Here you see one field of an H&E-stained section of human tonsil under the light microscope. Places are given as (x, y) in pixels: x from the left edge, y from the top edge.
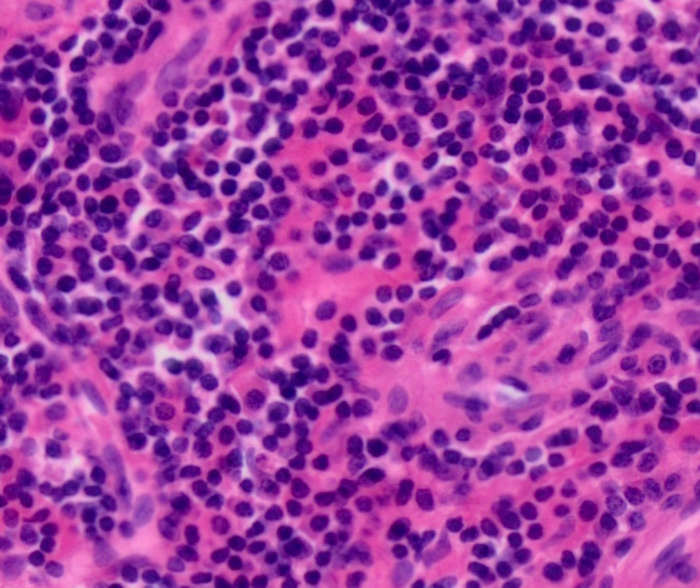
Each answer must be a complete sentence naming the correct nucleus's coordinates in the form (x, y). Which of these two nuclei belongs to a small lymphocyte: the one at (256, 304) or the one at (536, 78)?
The nucleus at (536, 78) is assigned to a small lymphocyte.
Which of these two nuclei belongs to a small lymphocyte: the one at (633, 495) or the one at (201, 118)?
The nucleus positioned at (201, 118) forms part of a small lymphocyte.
